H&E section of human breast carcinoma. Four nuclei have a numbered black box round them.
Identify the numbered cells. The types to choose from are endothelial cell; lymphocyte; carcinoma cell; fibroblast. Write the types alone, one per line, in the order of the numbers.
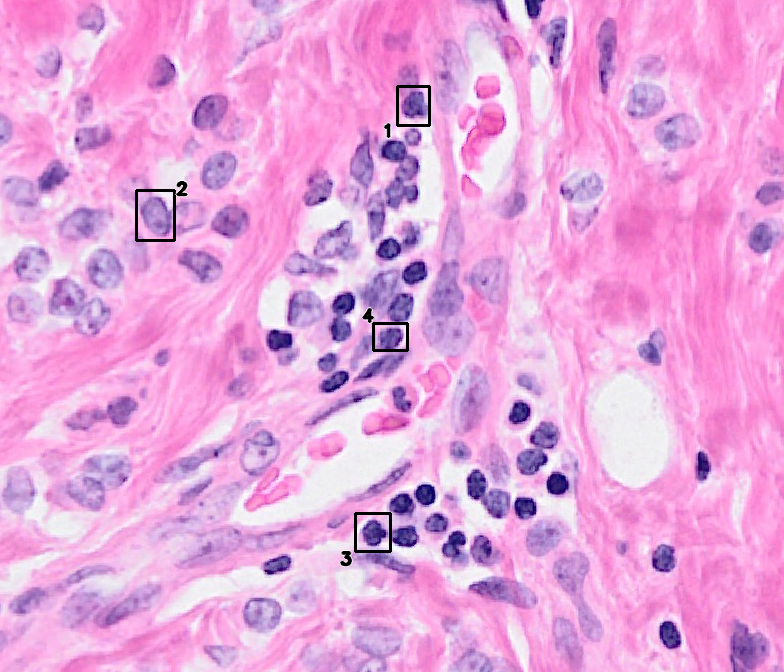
lymphocyte
carcinoma cell
lymphocyte
lymphocyte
